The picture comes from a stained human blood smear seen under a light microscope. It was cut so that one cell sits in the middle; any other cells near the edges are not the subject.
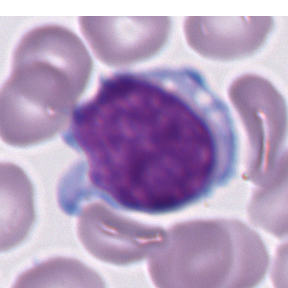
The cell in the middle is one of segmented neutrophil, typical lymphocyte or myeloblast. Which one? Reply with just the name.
myeloblast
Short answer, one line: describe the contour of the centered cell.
The cell outline lacks smoothness, being ragged or extended into projections.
